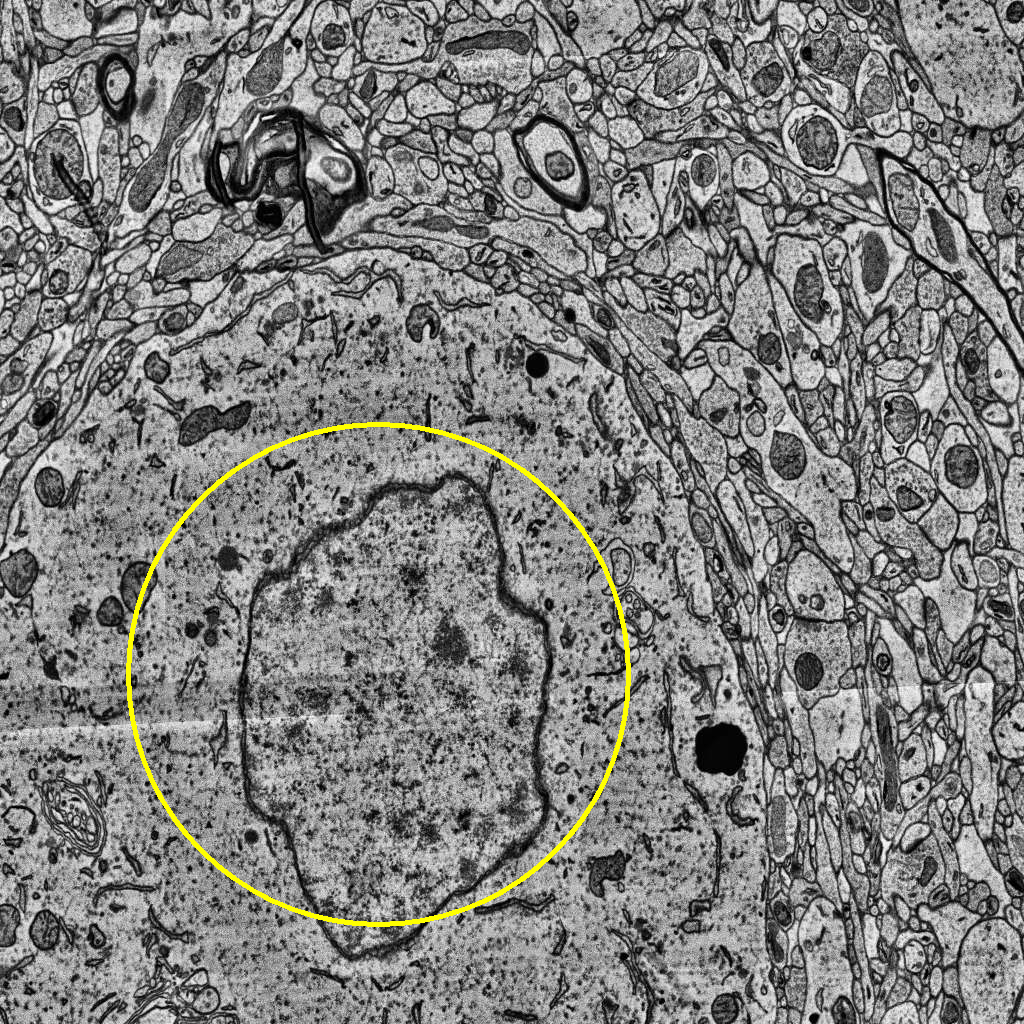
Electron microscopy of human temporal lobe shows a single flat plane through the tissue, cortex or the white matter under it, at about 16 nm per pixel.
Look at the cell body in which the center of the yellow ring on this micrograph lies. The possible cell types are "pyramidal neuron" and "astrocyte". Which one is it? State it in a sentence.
The cell at the middle of the ring is a pyramidal neuron.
